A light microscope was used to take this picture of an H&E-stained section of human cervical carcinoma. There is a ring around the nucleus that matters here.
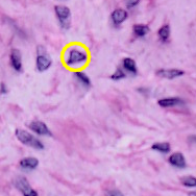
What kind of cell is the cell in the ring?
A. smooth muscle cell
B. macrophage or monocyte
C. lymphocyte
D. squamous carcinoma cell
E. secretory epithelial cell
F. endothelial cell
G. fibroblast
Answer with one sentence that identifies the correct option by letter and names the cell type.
Option A is correct in that the cell in the ring is a smooth muscle cell.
